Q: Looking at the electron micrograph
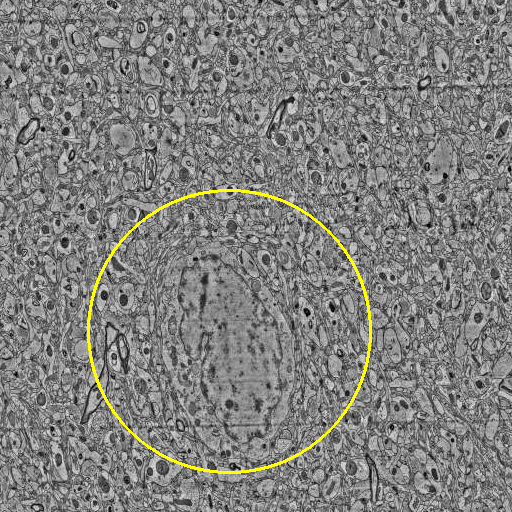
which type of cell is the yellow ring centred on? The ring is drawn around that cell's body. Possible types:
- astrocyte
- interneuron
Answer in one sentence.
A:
The yellow ring is centred on an interneuron.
